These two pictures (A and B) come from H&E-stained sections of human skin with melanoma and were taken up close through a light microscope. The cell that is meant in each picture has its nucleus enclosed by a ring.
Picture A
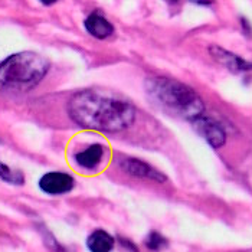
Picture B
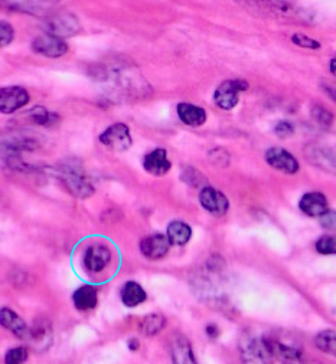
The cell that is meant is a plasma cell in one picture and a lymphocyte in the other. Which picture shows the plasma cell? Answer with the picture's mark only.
B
